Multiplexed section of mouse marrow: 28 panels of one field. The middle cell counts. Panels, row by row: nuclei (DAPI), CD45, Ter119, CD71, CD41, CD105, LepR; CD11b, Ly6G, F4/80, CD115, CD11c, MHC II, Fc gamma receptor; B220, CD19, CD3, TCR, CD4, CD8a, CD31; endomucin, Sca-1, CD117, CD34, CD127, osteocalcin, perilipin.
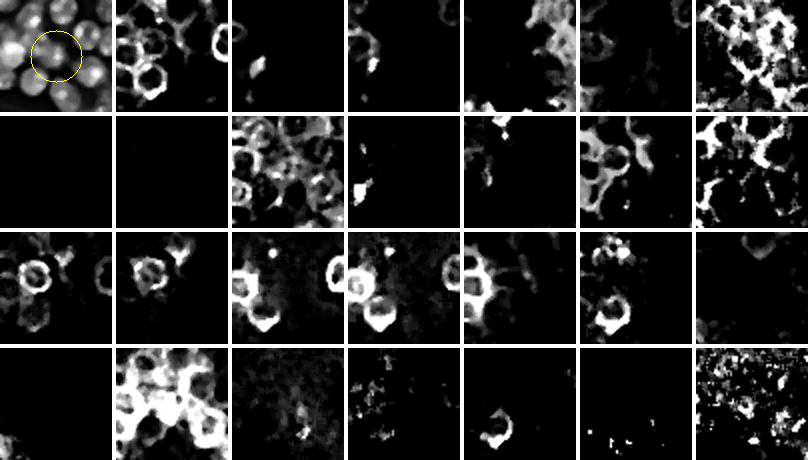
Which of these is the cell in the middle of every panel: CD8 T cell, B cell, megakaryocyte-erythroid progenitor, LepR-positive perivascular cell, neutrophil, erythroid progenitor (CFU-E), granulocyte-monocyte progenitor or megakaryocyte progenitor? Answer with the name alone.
LepR-positive perivascular cell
